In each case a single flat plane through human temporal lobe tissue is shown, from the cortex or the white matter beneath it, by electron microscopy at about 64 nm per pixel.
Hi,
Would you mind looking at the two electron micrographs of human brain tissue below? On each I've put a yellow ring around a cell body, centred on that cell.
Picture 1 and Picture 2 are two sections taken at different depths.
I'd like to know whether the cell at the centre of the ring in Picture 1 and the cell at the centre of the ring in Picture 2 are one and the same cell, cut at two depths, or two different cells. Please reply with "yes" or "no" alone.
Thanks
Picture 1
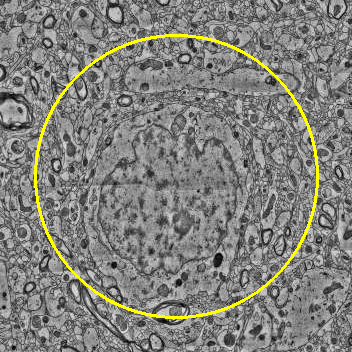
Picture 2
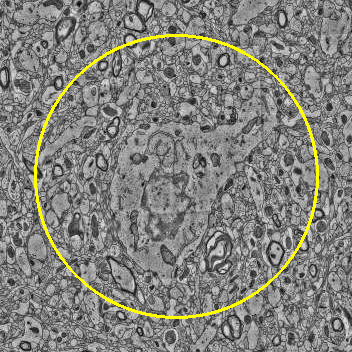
yes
